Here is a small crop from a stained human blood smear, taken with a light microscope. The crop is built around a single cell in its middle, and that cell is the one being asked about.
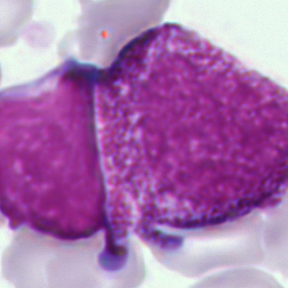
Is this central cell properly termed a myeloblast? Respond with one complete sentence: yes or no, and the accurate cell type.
No, the middle cell is classified as a promyelocyte instead of a myeloblast.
